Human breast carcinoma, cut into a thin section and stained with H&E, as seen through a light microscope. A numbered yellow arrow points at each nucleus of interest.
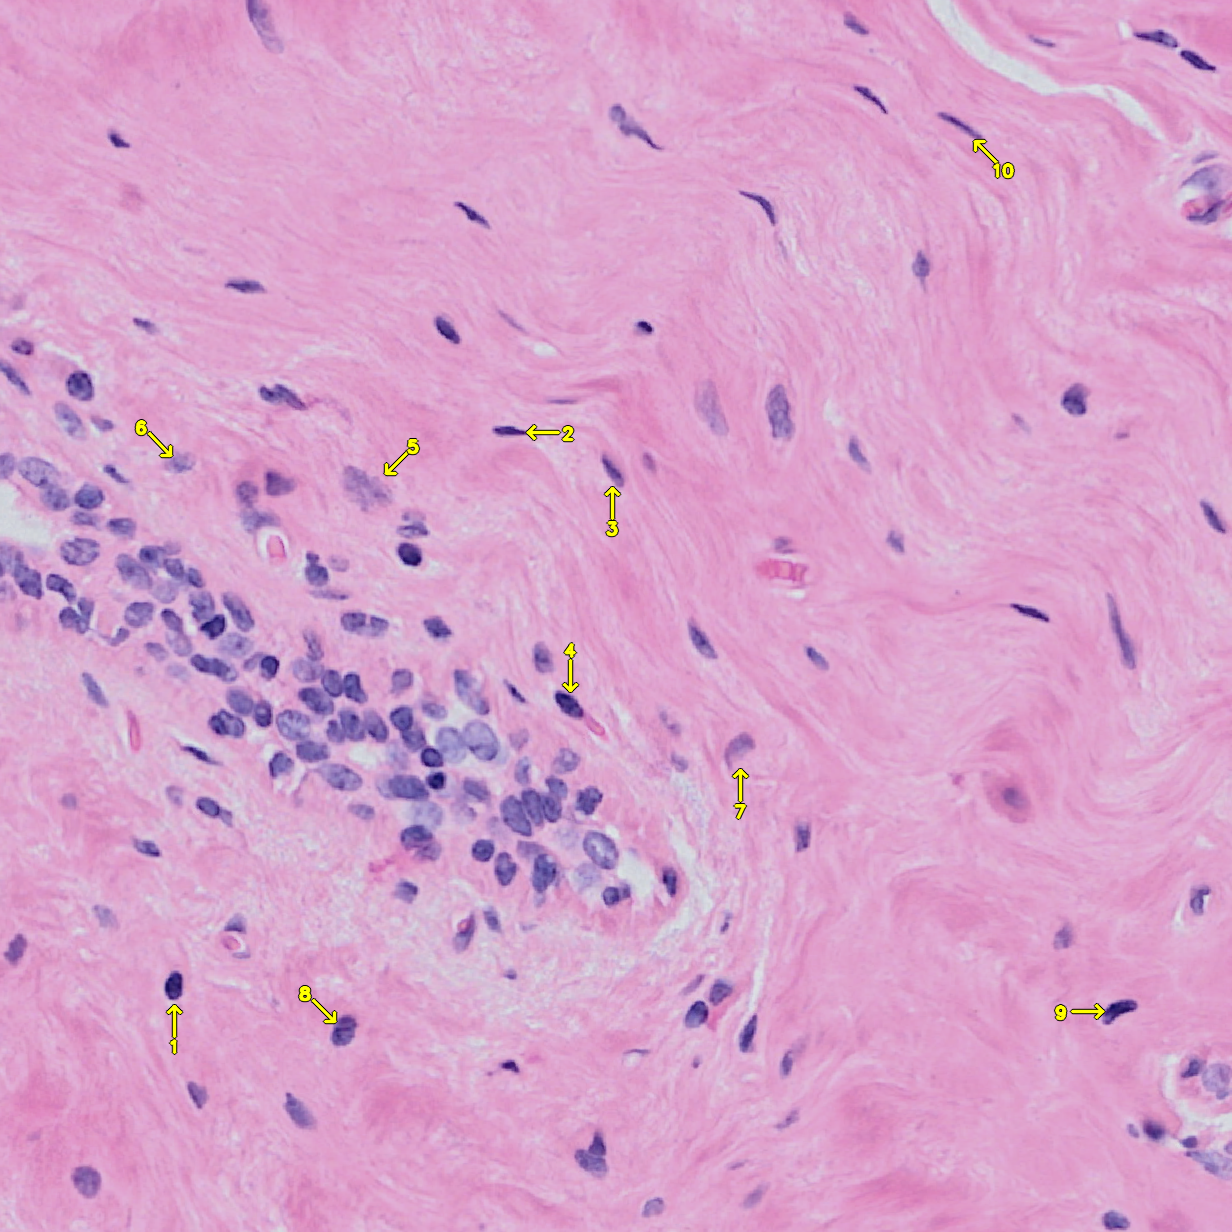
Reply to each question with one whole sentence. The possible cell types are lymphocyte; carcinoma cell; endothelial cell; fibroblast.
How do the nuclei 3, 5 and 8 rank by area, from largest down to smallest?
The nuclei rank 5, 8, 3, from largest to smallest.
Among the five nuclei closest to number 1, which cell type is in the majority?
Around number 1, most of the five nearest nuclei are those of fibroblasts.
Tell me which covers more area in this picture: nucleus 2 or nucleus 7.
At about 2 times the area of nucleus 2, nucleus 7 is the larger of the two.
